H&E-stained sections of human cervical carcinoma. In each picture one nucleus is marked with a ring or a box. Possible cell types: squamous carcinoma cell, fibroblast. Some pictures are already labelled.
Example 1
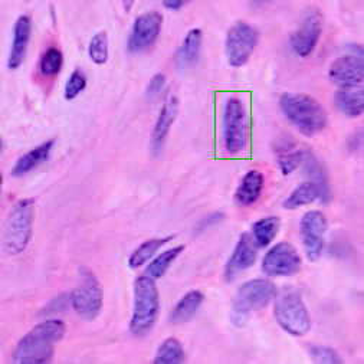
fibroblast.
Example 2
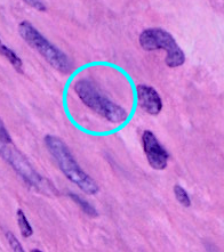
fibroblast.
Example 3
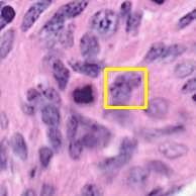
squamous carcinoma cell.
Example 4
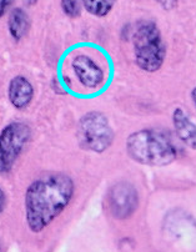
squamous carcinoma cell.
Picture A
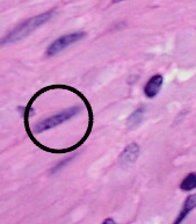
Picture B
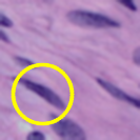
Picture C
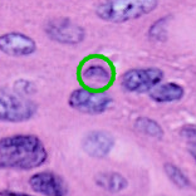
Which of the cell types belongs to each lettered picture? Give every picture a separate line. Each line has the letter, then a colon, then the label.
A: fibroblast.
B: fibroblast.
C: squamous carcinoma cell.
